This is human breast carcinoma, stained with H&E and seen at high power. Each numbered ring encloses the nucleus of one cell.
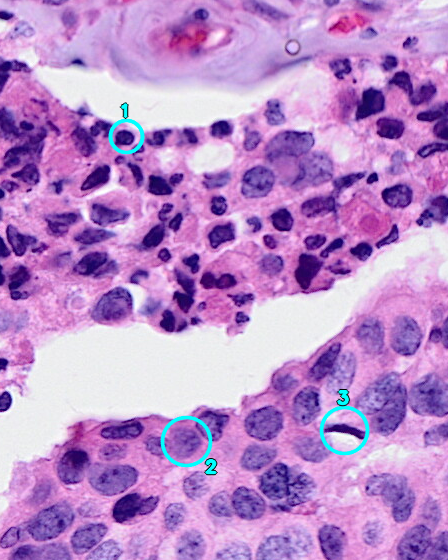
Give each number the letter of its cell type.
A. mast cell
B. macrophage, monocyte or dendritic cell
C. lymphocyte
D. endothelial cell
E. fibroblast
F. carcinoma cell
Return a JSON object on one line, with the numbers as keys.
{"1": "C", "2": "F", "3": "F"}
